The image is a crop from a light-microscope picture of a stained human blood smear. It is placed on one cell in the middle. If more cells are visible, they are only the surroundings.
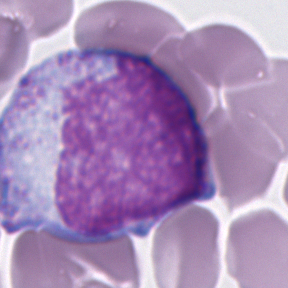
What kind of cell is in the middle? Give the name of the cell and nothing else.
promyelocyte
